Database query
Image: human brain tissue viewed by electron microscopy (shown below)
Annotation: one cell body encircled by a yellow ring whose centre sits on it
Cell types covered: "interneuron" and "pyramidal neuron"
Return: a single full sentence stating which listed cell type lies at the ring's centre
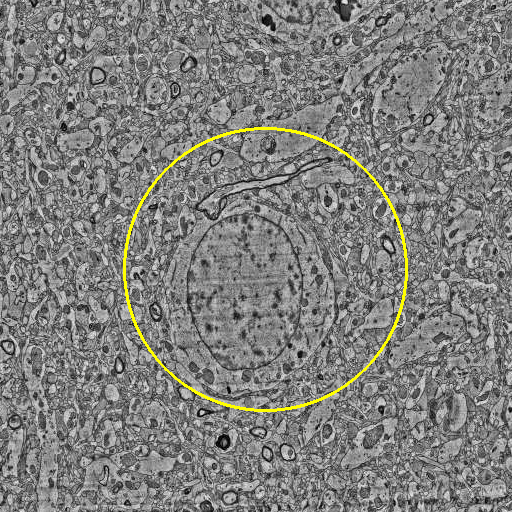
In the image, the cell lying at the ring's centre is a pyramidal neuron.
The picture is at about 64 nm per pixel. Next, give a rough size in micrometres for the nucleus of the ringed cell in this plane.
The nucleus measures about 10 by 8 micrometres in this plane.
